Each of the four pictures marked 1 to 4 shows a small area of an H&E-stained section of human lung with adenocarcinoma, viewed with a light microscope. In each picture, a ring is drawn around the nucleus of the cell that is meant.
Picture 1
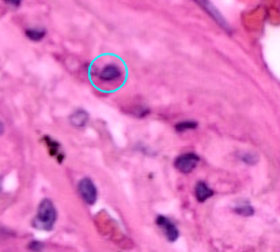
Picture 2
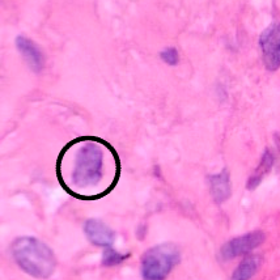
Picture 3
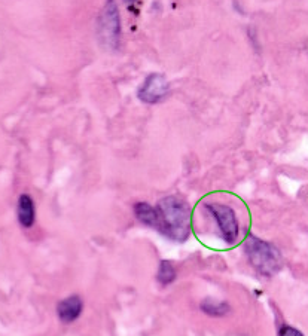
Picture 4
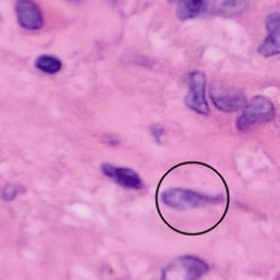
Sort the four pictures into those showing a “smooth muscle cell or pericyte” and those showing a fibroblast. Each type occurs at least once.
1: smooth muscle cell or pericyte
2: fibroblast
3: fibroblast
4: fibroblast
